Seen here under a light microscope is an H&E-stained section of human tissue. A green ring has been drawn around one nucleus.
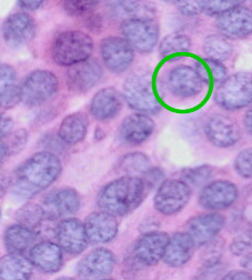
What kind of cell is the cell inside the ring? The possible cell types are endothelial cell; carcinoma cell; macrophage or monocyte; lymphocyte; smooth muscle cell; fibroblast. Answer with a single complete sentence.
In cell-type terms, the cell inside the ring is a carcinoma cell.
